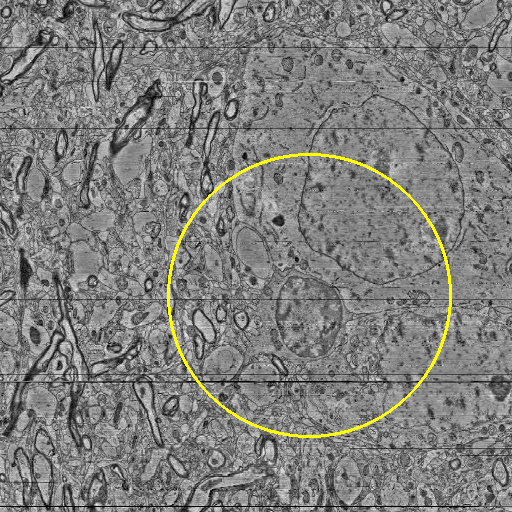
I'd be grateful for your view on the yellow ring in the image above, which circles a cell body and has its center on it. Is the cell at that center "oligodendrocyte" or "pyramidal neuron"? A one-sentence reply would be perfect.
The cell at the center of the yellow ring is an oligodendrocyte.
